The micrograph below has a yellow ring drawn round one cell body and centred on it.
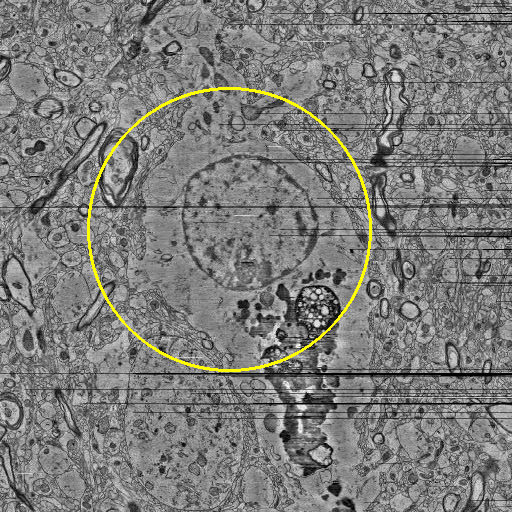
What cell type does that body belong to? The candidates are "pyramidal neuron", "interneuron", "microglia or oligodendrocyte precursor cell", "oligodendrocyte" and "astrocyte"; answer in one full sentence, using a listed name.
This is an astrocyte, the cell whose body lies at the centre of the ring.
